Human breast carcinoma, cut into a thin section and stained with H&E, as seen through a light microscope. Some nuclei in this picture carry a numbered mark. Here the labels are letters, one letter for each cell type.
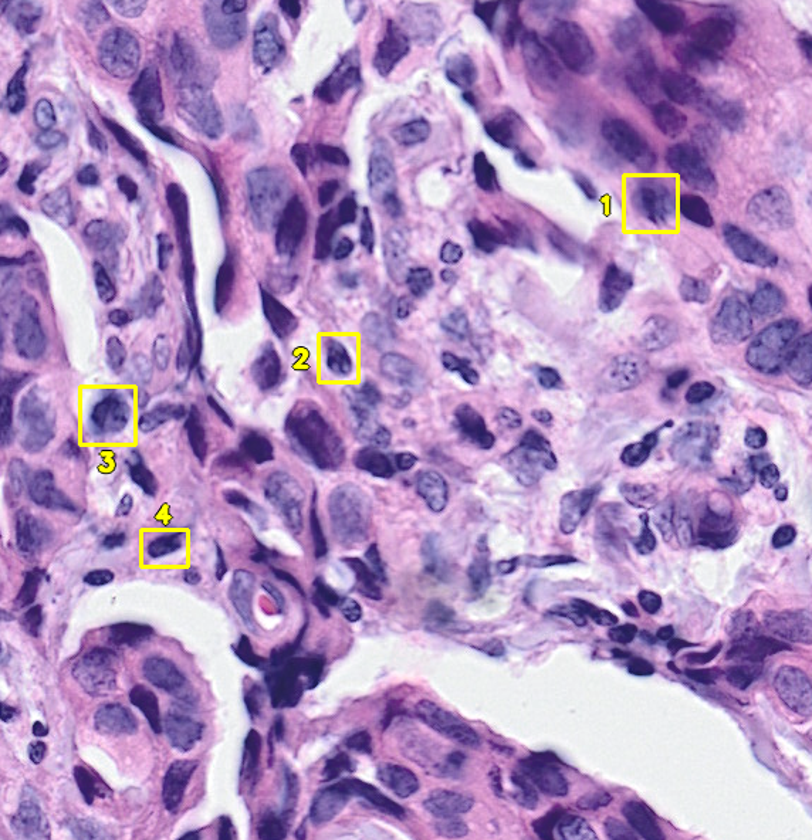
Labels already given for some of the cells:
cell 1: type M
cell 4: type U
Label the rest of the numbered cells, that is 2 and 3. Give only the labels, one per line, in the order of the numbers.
type U
type M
